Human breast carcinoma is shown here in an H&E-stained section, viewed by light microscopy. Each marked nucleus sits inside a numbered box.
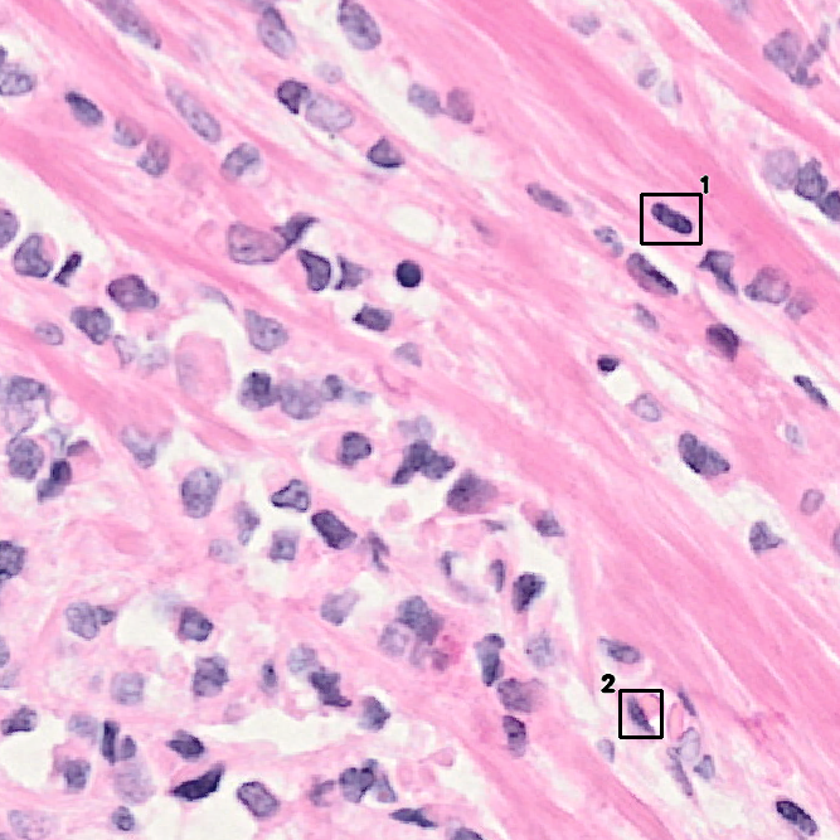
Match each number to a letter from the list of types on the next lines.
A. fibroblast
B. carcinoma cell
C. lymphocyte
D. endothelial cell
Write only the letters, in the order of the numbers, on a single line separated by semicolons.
C; D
